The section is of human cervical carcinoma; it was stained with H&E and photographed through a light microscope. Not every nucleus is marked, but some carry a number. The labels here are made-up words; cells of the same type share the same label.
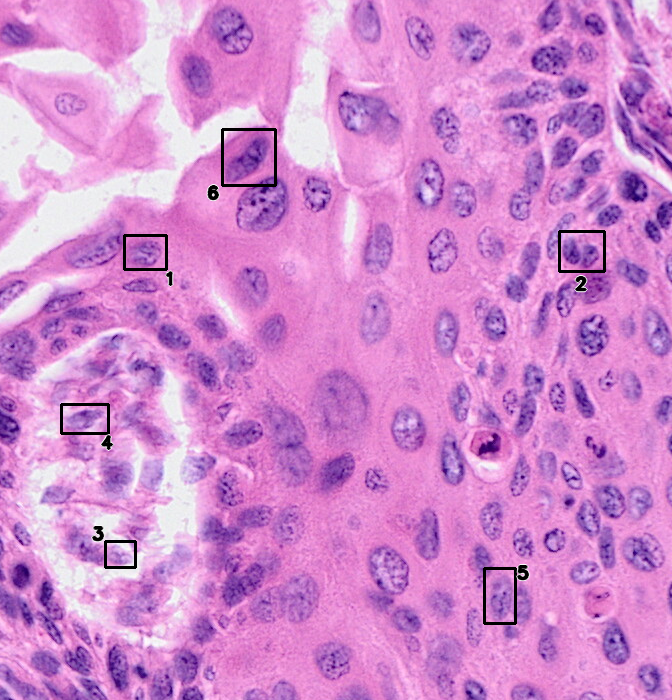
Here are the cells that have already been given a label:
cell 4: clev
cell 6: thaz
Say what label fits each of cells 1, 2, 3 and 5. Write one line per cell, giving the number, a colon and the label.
1: thaz
2: thaz
3: clev
5: thaz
